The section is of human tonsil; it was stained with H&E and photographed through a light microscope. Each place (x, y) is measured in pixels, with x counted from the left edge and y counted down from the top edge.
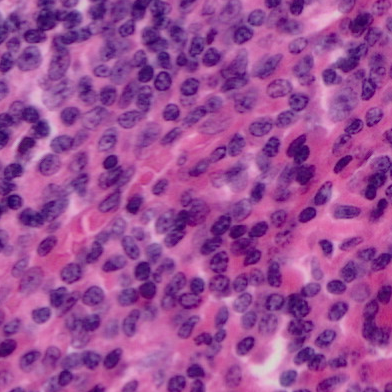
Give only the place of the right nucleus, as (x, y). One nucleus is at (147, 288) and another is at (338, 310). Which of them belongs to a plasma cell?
(338, 310)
